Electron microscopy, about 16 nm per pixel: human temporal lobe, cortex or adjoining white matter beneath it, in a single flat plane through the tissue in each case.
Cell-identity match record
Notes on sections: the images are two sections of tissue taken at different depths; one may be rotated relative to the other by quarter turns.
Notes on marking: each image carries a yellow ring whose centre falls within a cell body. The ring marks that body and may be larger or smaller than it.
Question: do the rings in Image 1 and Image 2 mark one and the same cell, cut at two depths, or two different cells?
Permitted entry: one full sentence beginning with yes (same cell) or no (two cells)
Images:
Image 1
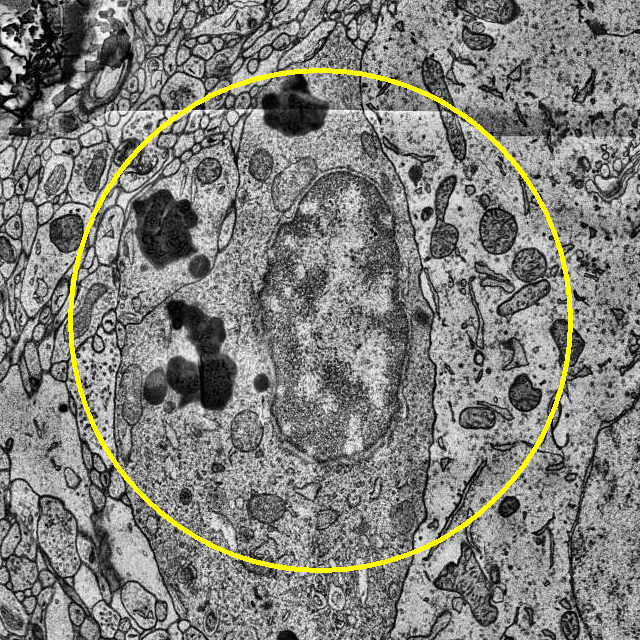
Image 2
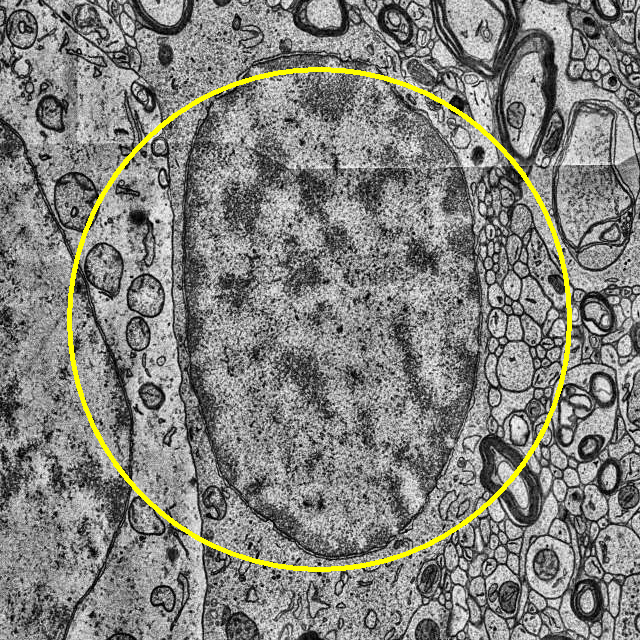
No, these two rings belong to two distinct cells.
